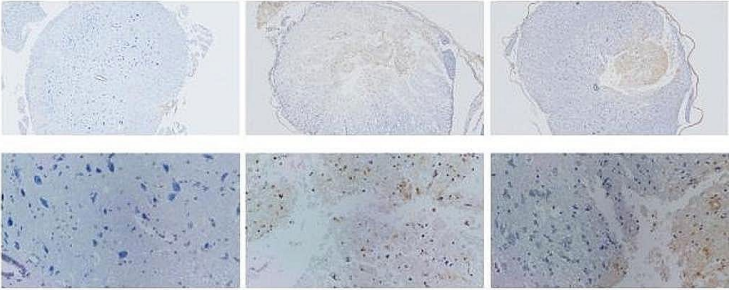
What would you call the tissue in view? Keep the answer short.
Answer: spinal cord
